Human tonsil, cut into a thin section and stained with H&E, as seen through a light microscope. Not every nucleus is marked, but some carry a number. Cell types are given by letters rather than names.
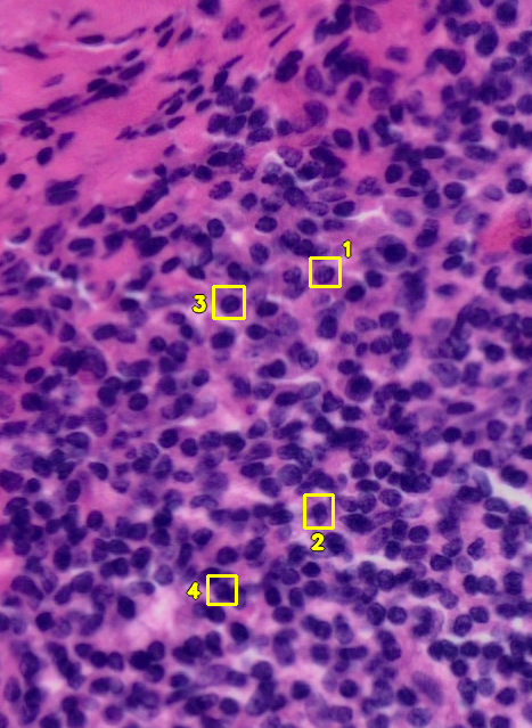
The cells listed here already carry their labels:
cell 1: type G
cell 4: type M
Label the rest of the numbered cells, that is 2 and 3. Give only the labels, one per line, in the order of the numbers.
type M
type G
